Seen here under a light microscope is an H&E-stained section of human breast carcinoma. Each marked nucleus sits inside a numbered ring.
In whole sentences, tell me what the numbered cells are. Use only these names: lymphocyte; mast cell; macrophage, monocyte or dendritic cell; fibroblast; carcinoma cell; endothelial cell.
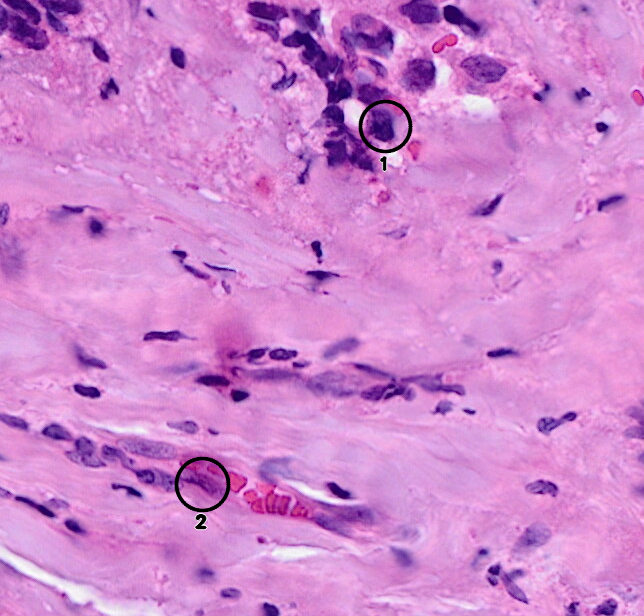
Cell 1 is a carcinoma cell and cell 2 is an endothelial cell.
